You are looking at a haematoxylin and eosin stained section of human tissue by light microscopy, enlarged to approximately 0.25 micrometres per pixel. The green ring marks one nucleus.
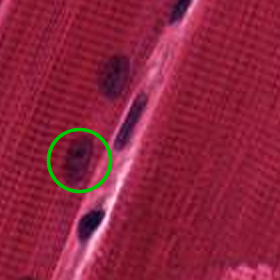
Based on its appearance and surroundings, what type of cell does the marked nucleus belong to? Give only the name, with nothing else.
skeletal muscle fibre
